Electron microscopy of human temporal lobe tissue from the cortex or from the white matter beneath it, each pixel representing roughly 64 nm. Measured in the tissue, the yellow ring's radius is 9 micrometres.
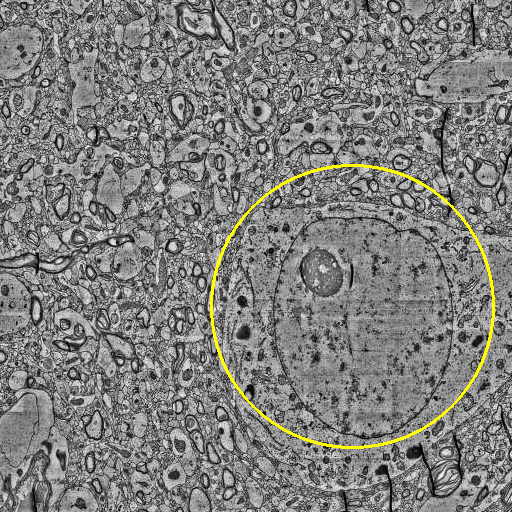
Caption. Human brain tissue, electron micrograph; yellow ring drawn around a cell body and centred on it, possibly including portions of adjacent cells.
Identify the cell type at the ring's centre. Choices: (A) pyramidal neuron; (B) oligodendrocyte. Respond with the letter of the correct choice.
A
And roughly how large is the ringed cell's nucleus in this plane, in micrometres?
Approximately 15 micrometres long and 12 micrometres wide, in this plane.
